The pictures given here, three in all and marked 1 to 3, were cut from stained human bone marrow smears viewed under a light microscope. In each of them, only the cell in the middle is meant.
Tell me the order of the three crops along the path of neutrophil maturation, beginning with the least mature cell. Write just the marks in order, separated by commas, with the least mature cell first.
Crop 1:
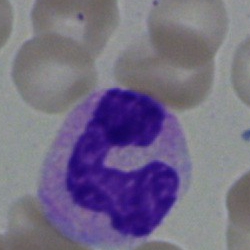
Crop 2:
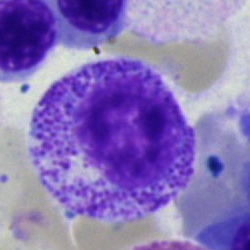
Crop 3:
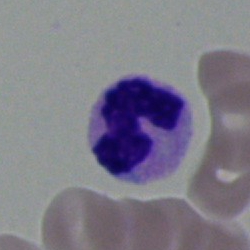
2, 1, 3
